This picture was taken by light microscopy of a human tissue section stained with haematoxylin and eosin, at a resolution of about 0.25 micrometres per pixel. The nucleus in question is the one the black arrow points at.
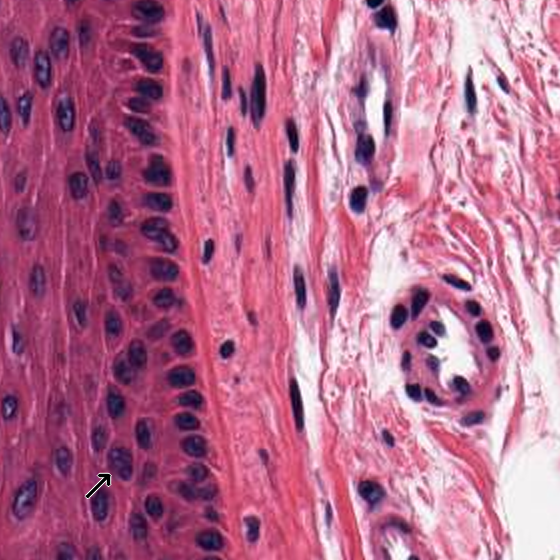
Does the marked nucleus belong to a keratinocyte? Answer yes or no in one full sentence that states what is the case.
Yes, in this image it is a keratinocyte that contains the marked nucleus.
